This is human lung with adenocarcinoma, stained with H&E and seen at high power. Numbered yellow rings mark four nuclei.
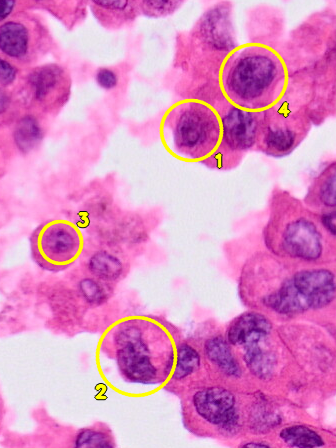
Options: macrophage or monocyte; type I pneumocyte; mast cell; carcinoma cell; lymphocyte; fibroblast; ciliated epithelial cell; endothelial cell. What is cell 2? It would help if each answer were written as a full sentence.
The cell marked with the number 2 is a carcinoma cell.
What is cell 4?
As for number 4, that cell is a carcinoma cell.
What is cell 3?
The nucleus marked 3 is the nucleus of a macrophage or monocyte.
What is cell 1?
Cell 1 should be recorded as a carcinoma cell.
